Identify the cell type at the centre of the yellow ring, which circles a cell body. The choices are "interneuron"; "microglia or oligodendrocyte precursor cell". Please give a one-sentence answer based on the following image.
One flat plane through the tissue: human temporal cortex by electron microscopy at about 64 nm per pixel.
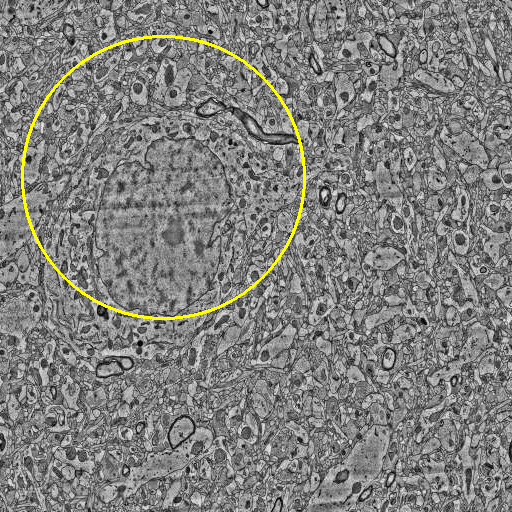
The cell marked by the ring is an interneuron.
